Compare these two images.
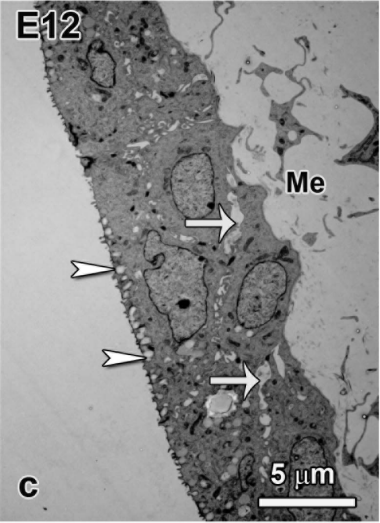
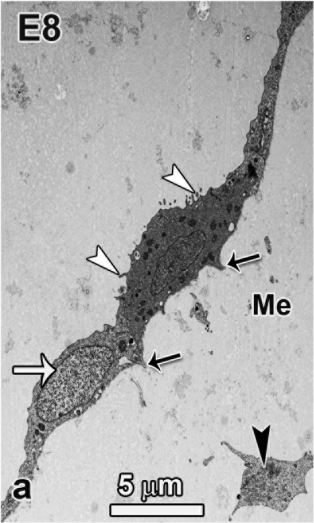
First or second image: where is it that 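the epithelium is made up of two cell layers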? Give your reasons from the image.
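The first image. First image: a thick epithelial sheet with nuclei lying at different depths, stacked over one another. Second image: a thin epithelium of single flattened cells with one nucleus across its depth.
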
